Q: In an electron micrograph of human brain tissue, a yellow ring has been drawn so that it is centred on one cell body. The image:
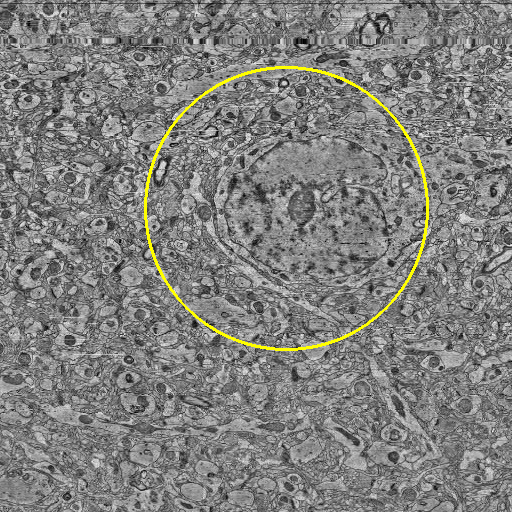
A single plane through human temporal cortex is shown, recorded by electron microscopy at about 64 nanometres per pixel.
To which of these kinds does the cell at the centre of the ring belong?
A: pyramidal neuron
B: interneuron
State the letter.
B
